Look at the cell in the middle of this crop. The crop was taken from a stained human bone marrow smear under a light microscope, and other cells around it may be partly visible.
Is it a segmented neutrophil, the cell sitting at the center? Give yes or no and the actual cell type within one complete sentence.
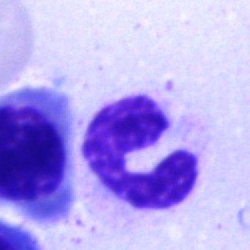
No, the cell in the centre of the crop is a band neutrophil as opposed to a segmented neutrophil.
